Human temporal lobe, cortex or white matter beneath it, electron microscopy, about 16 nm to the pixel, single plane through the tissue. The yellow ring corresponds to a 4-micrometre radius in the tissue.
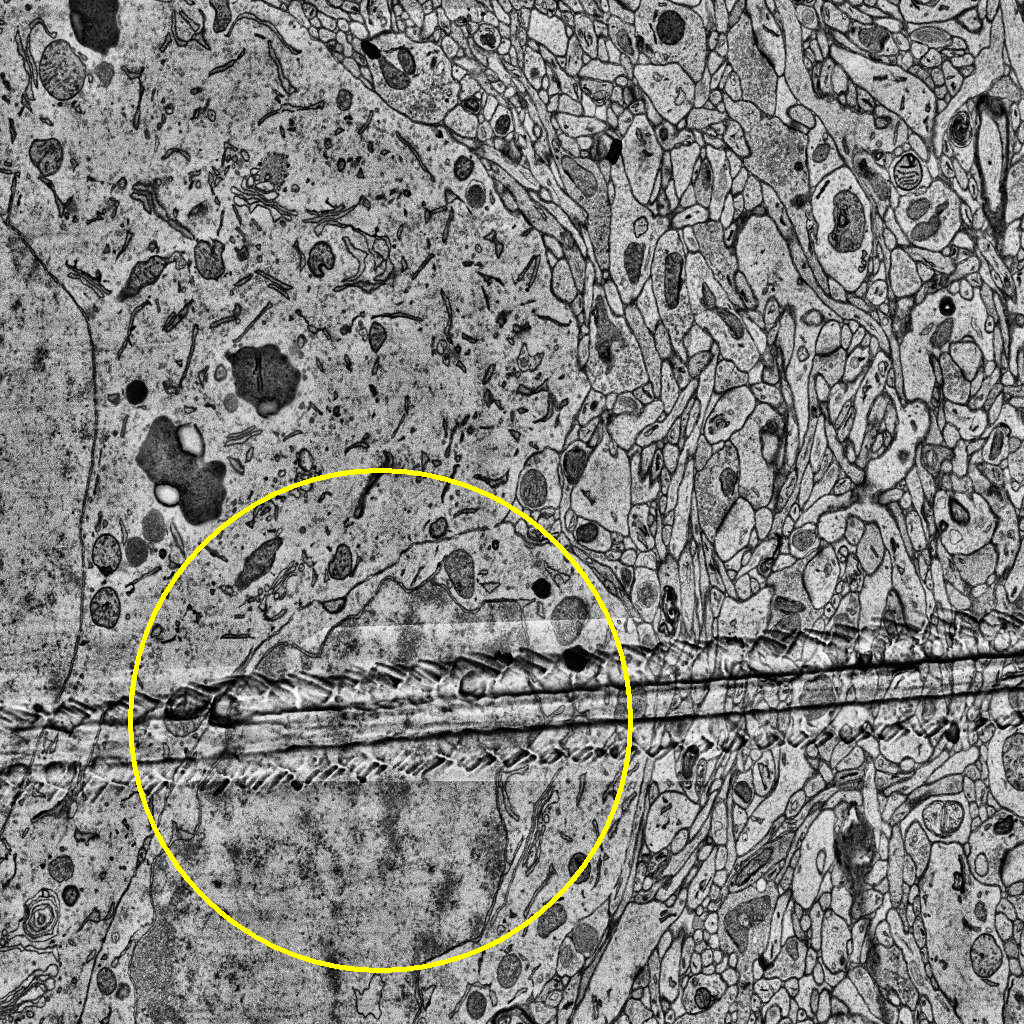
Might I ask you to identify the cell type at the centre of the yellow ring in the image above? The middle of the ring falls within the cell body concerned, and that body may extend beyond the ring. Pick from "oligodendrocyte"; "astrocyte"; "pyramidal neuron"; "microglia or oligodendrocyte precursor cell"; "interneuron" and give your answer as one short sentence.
The centre of the ring falls on an interneuron.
